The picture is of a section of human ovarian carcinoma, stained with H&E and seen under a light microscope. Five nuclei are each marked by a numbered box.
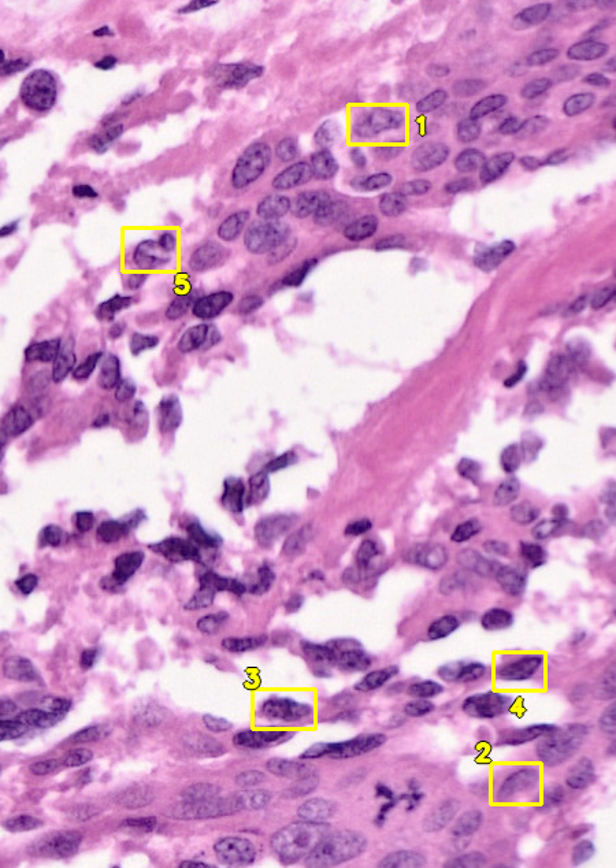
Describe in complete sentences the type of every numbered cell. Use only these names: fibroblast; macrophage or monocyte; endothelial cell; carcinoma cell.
Cell 1 is a macrophage or monocyte, cell 2 is a carcinoma cell, cell 3 is a carcinoma cell, cell 4 is a carcinoma cell and cell 5 is a macrophage or monocyte.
